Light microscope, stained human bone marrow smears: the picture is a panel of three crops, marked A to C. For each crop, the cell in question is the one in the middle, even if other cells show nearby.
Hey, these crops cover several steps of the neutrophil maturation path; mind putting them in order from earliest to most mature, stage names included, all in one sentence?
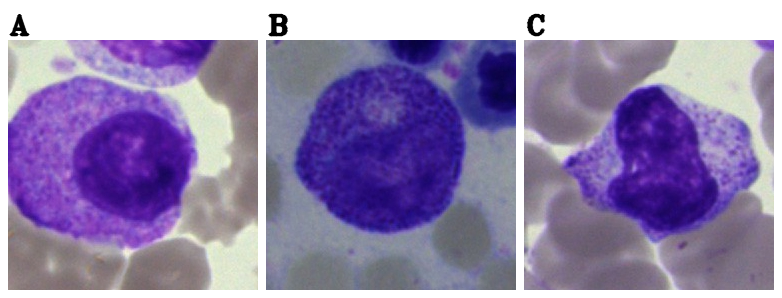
The proper maturity order, starting from the least mature, is crop B (a promyelocyte), crop A (a myelocyte) and crop C (a metamyelocyte).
